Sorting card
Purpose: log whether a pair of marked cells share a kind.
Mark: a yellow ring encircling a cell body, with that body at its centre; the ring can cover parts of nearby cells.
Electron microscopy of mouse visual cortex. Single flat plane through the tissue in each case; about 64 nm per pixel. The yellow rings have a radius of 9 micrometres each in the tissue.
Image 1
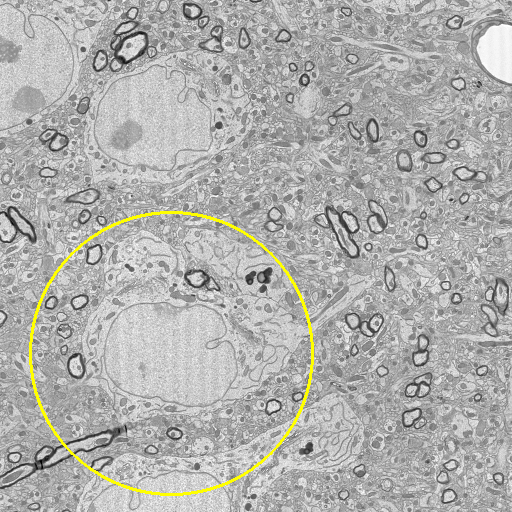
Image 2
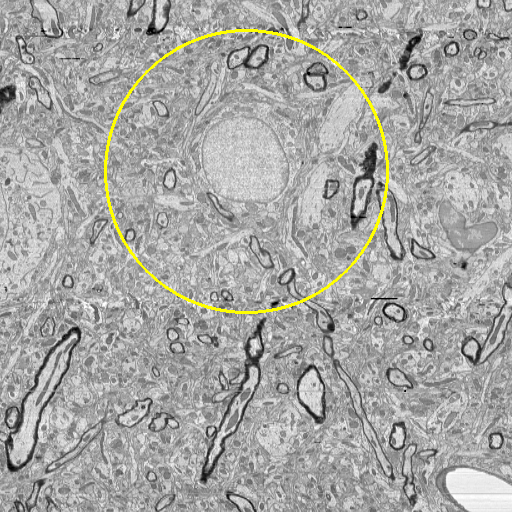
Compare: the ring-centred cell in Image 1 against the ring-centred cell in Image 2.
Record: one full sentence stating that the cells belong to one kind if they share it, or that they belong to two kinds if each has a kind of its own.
Across Images 1 and 2, the two ring-centred cells belong to two kinds.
